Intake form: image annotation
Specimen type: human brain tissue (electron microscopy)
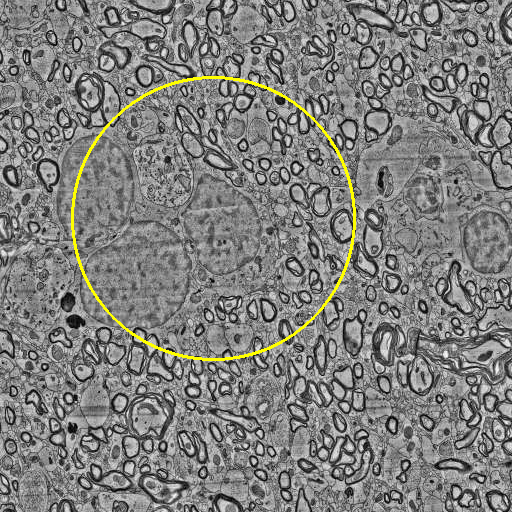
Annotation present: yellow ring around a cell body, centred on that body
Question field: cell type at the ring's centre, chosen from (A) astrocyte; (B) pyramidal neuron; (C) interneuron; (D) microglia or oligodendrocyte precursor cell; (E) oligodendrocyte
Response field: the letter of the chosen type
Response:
E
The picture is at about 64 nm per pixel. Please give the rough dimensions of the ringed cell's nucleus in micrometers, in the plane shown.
In this plane, about 6 micrometres in length and 5 in width.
